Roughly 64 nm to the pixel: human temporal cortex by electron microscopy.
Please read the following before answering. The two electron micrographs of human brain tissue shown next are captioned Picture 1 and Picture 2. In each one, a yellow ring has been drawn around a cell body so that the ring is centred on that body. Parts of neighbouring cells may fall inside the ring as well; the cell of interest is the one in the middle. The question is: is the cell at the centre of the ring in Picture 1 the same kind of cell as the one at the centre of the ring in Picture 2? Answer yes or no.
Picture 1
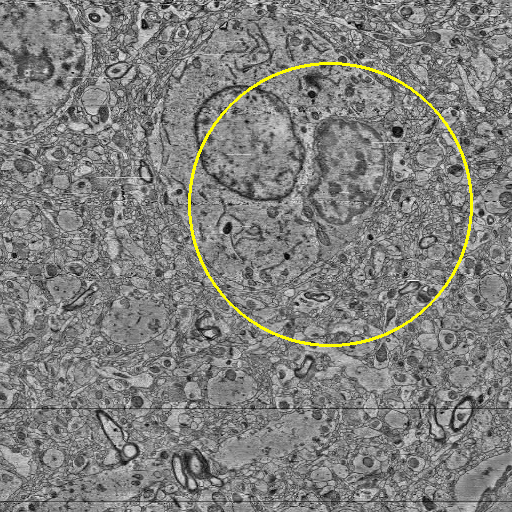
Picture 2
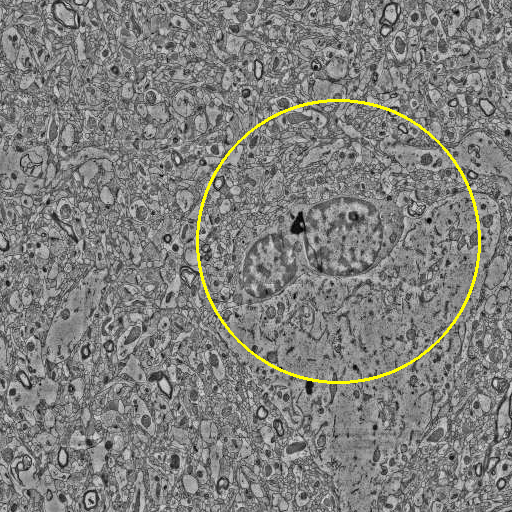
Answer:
yes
